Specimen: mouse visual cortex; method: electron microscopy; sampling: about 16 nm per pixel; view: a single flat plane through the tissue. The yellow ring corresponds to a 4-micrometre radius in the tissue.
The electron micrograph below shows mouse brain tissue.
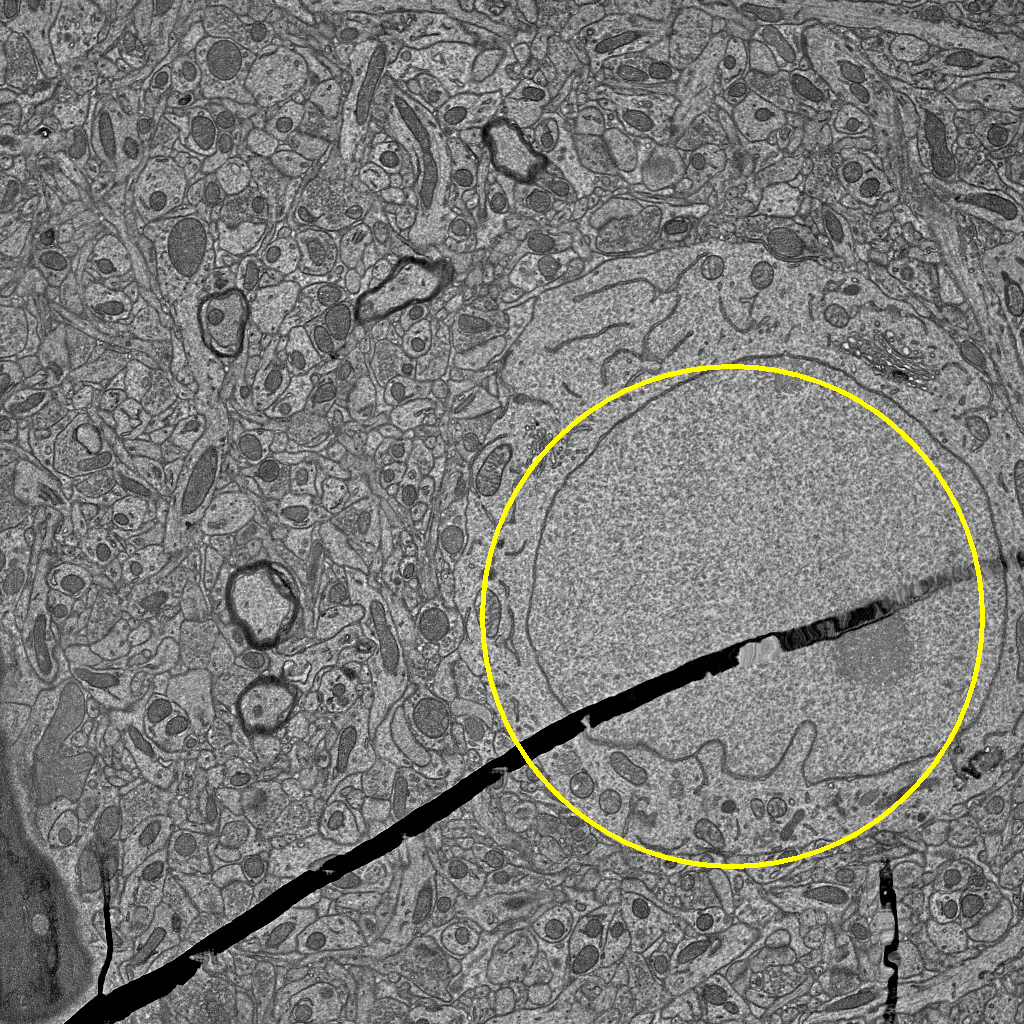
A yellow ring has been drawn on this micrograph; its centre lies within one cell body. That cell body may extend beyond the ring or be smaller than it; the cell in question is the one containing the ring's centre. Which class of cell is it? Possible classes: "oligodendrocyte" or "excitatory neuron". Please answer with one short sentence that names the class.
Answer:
In the centre of the ring sits an excitatory neuron.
